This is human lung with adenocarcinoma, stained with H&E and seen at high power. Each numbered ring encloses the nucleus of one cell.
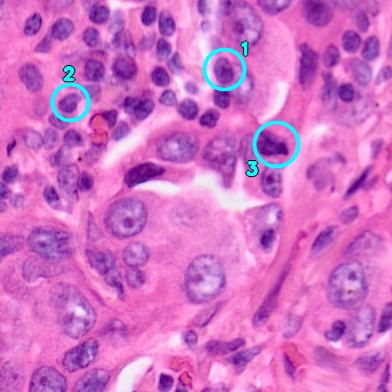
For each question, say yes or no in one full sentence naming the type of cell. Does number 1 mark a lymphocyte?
Yes, the cell corresponding to number 1 is a lymphocyte.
